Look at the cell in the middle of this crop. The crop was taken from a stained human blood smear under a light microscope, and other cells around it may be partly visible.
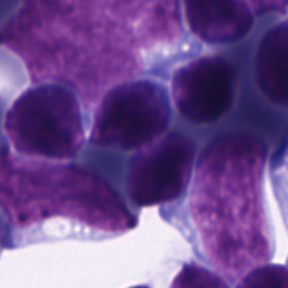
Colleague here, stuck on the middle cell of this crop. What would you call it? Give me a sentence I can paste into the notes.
Located at the centre of the crop is a blast.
